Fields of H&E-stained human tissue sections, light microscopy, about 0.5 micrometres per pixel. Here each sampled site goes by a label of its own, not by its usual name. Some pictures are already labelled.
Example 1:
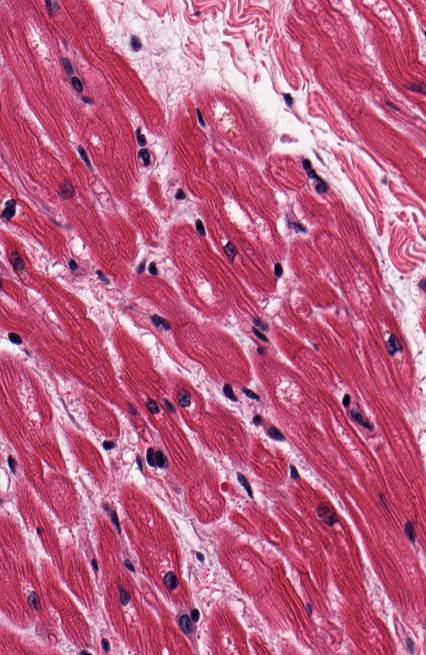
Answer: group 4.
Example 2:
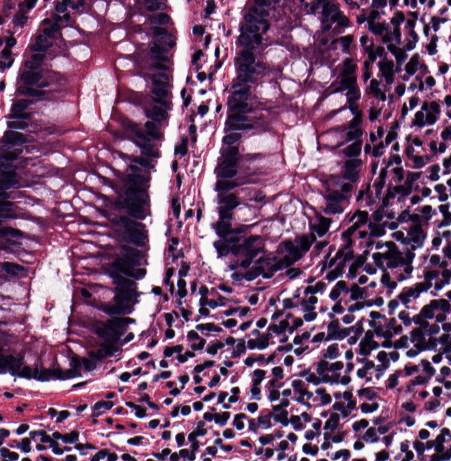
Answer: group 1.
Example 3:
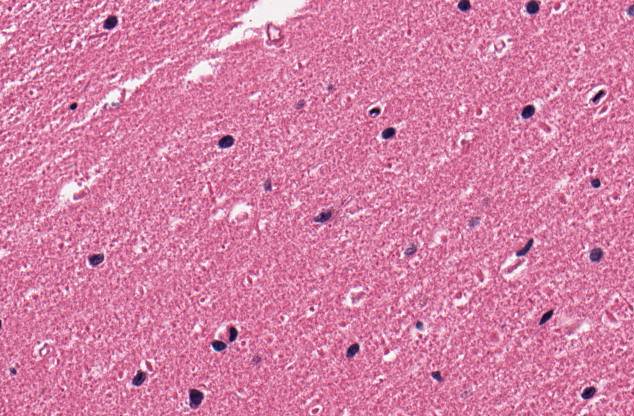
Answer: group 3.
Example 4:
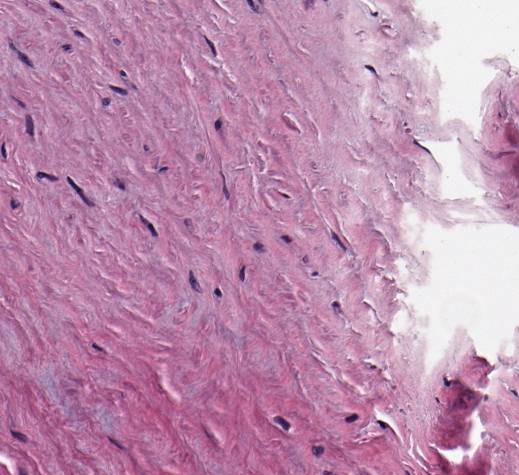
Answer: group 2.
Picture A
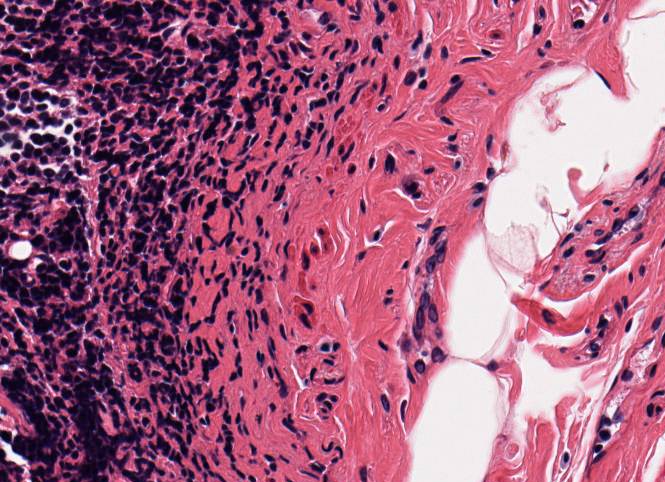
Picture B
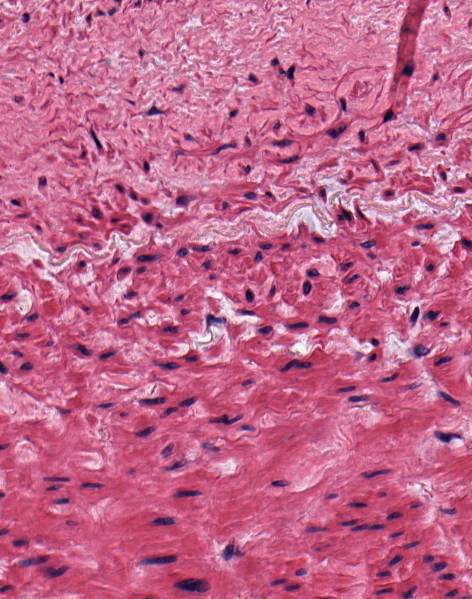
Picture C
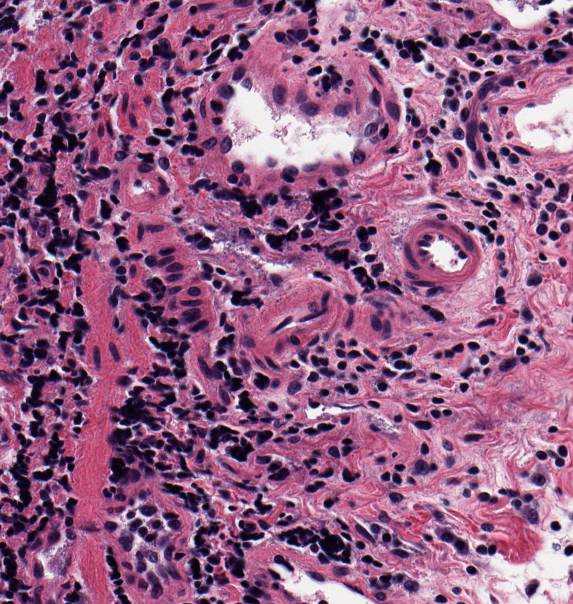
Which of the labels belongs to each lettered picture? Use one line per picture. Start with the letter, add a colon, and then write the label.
A: group 1.
B: group 2.
C: group 1.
